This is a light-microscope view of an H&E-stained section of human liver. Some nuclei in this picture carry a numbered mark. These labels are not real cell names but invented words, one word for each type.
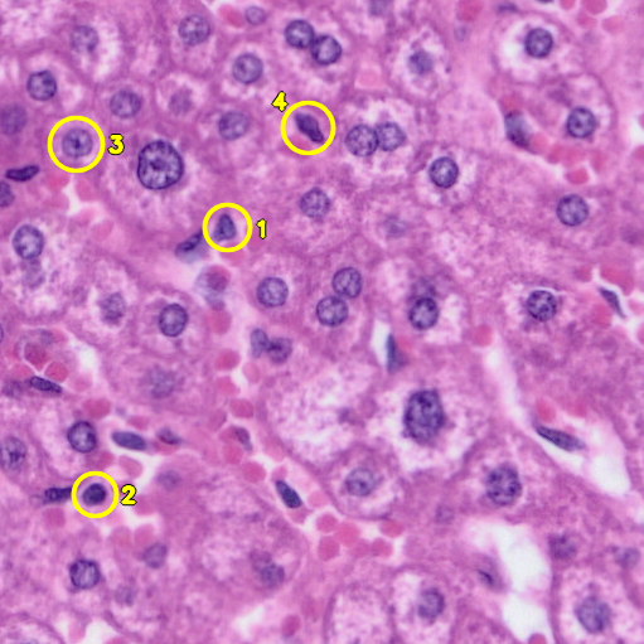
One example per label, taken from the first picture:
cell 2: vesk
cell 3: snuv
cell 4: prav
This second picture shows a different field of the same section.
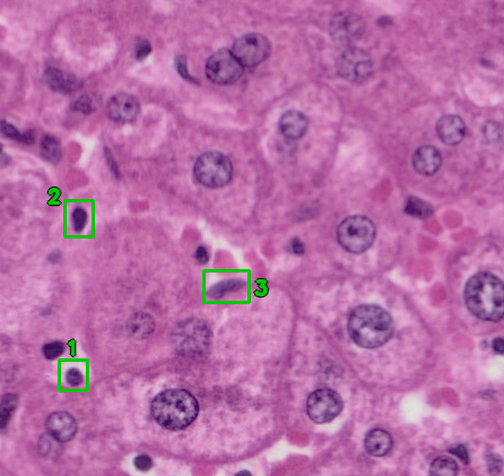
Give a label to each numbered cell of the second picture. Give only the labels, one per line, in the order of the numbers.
vesk
vesk
prav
